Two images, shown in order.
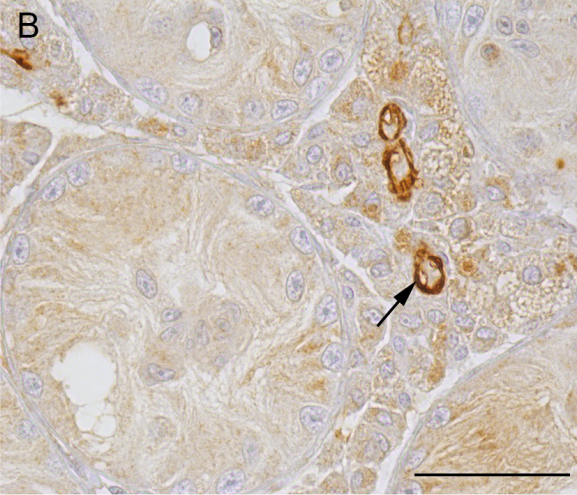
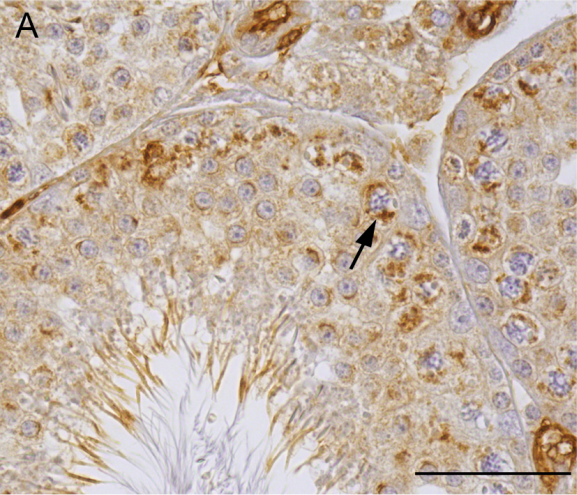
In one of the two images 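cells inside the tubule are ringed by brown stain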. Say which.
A: The second image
